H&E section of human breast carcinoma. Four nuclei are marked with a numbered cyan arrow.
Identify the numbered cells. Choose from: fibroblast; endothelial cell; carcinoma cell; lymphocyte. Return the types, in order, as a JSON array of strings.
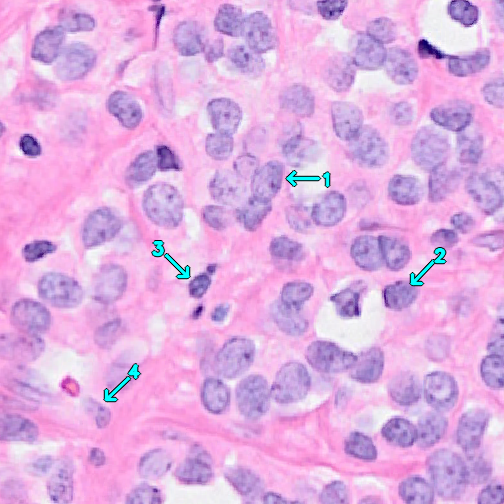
["carcinoma cell", "carcinoma cell", "lymphocyte", "endothelial cell"]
